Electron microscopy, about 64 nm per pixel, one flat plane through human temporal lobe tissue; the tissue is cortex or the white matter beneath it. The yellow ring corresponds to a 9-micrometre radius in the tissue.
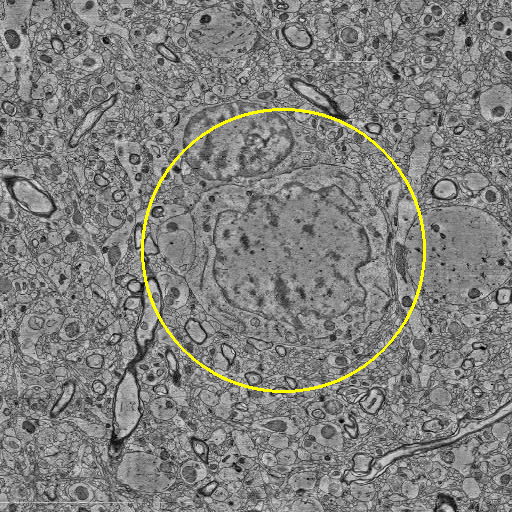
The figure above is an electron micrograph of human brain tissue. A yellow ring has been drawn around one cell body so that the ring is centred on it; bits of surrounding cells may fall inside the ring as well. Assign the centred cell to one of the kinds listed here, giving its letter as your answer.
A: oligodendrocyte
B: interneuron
B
